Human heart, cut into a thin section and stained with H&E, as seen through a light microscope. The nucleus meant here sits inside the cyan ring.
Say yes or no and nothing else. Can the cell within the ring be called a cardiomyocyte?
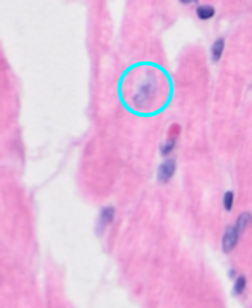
yes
